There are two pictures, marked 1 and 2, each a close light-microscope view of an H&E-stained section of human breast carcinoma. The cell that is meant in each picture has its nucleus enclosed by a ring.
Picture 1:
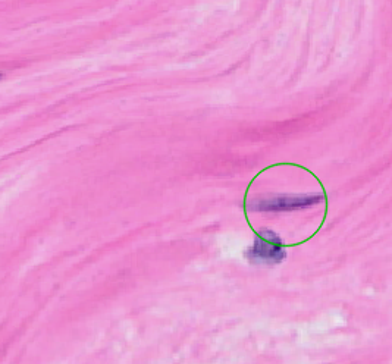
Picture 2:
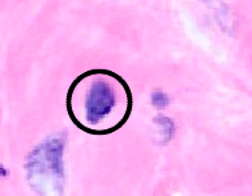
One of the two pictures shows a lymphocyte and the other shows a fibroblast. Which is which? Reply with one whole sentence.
In picture 1 the cell is a fibroblast; in picture 2, a lymphocyte.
